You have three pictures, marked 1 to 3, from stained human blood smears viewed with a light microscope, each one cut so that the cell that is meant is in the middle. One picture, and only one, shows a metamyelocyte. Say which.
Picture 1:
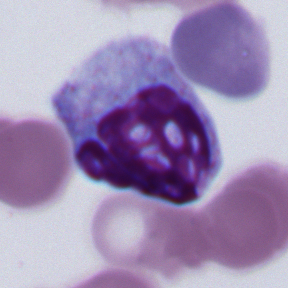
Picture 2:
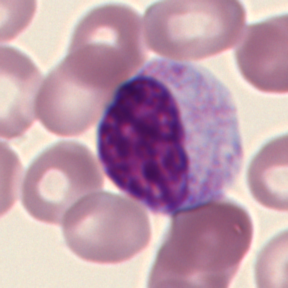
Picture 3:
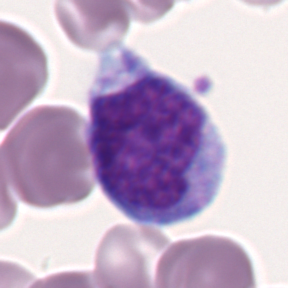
2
